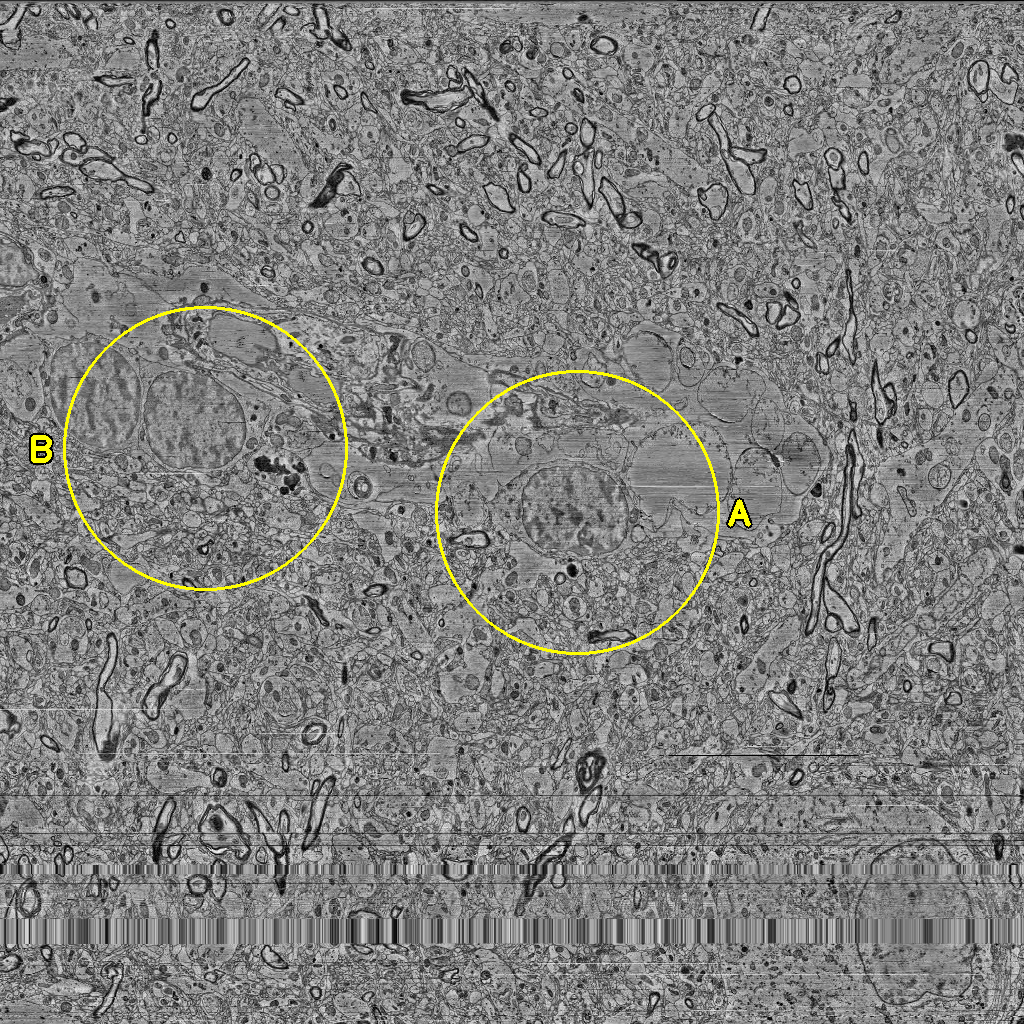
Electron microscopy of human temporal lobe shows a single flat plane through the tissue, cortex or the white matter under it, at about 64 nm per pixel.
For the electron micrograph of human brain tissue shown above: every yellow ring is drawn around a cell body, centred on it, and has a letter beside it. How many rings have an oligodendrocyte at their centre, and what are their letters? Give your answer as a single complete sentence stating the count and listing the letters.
For the rings with the letters A and B, of which there are two, the centre of each is an oligodendrocyte.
